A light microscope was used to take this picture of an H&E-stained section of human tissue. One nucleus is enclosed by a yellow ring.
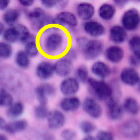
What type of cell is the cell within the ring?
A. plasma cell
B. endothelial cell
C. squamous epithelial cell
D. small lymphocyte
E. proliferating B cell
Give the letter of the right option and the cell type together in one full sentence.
The statement that the cell within the ring is a small lymphocyte corresponds to option D, the correct one.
